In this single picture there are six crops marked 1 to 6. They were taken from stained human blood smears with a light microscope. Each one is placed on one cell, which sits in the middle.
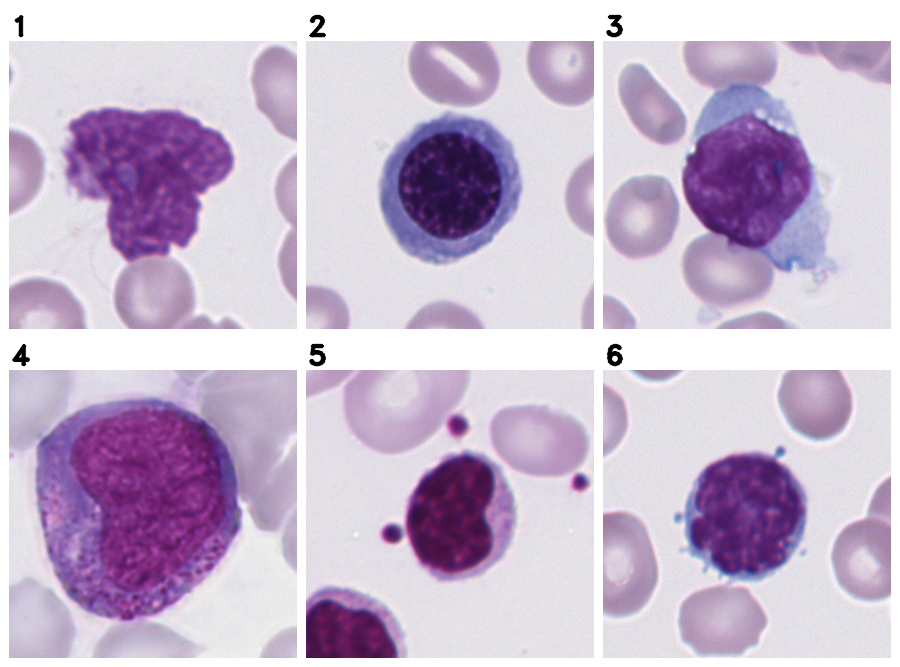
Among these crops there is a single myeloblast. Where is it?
3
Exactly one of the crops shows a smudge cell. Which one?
1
